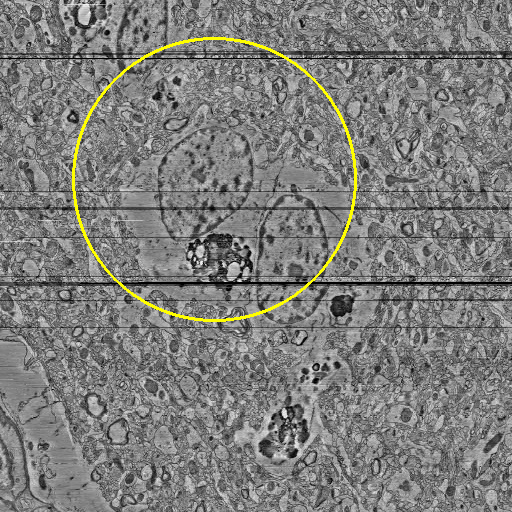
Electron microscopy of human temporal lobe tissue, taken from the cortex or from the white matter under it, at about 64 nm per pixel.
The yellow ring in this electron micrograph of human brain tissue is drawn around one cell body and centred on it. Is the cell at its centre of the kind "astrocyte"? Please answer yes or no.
yes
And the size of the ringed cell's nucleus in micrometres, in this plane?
The nucleus has a long axis of about 8 micrometres and a short axis of about 6 micrometres in this plane.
